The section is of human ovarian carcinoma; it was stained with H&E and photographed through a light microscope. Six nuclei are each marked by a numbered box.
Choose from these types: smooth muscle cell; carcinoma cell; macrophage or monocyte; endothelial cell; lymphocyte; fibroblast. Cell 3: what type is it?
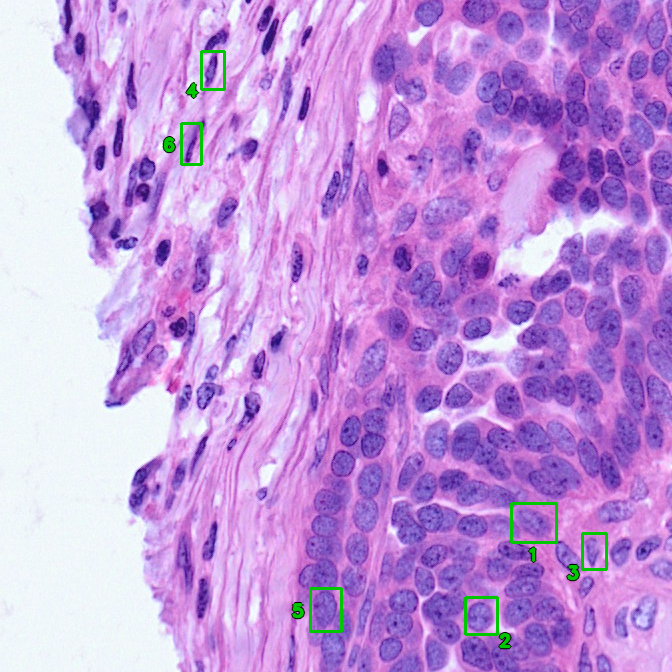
fibroblast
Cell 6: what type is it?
fibroblast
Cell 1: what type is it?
carcinoma cell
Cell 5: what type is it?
carcinoma cell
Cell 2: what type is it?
carcinoma cell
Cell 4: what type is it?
fibroblast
